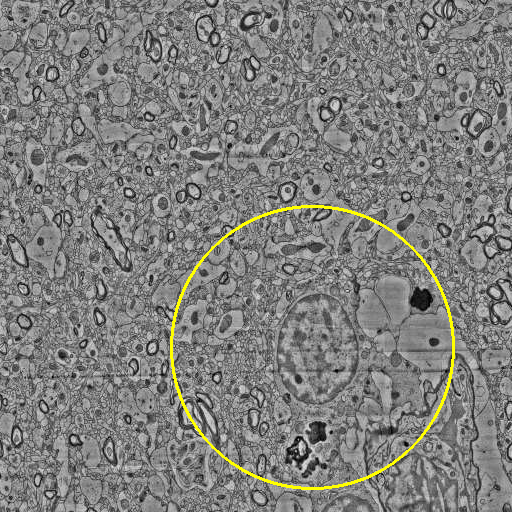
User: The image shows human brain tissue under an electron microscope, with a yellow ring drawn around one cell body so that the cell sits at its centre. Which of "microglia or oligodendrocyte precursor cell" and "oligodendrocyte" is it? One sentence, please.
At the centre of the ring sits an oligodendrocyte.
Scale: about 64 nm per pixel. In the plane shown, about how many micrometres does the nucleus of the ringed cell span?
In this plane, approximately 7 by 5 micrometers.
